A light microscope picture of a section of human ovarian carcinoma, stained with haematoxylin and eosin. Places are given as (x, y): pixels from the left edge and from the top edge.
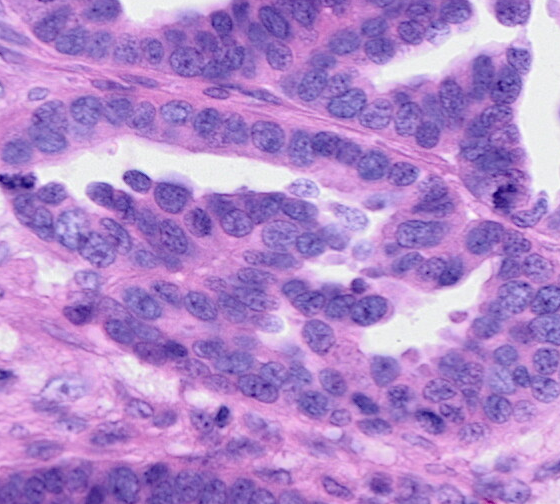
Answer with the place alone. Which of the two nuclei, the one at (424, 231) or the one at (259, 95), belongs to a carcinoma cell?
(424, 231)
